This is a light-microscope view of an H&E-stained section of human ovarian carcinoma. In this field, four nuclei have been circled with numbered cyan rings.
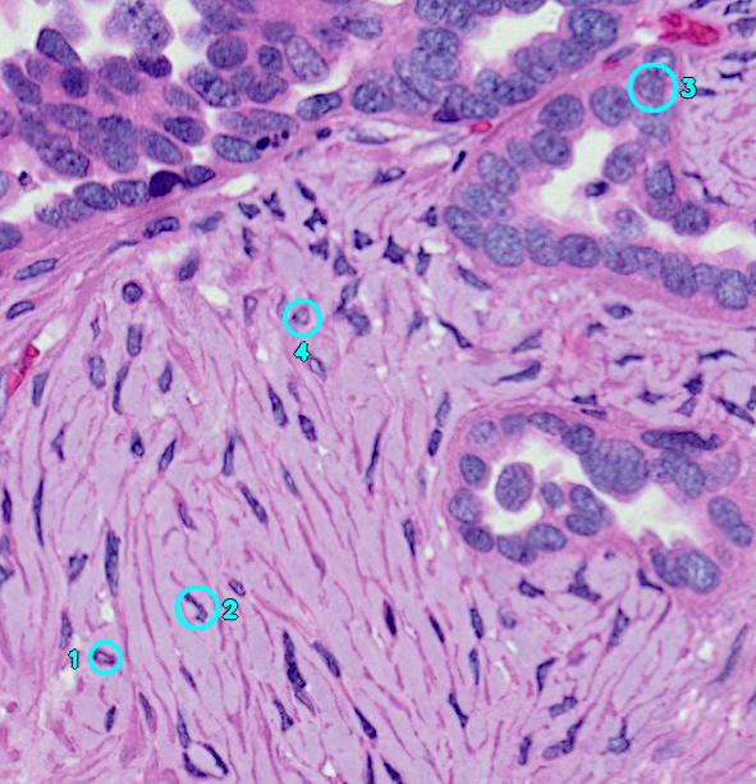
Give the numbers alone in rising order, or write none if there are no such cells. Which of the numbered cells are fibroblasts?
1, 2, 4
